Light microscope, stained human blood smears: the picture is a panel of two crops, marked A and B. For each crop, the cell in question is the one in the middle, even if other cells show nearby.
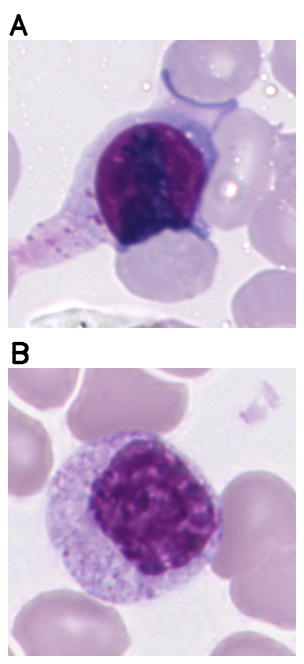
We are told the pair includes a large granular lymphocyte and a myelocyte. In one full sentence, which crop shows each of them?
Crop A corresponds to a large granular lymphocyte, and crop B corresponds to a myelocyte.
